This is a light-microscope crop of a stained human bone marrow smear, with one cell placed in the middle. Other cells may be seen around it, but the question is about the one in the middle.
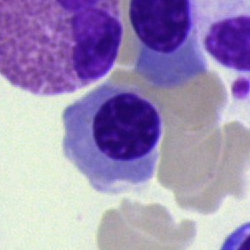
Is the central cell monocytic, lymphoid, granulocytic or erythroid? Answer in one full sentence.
The cell at the center is recorded as erythroid in lineage.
